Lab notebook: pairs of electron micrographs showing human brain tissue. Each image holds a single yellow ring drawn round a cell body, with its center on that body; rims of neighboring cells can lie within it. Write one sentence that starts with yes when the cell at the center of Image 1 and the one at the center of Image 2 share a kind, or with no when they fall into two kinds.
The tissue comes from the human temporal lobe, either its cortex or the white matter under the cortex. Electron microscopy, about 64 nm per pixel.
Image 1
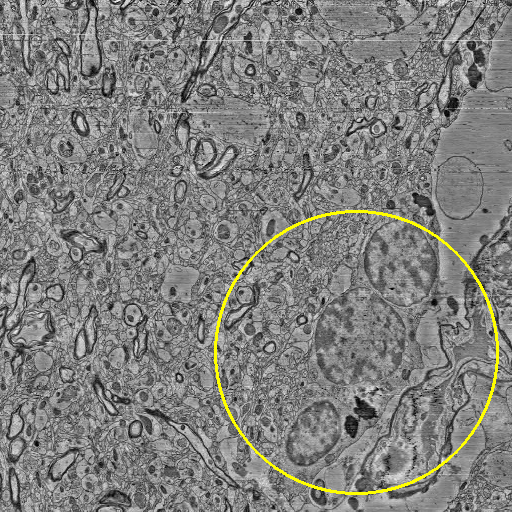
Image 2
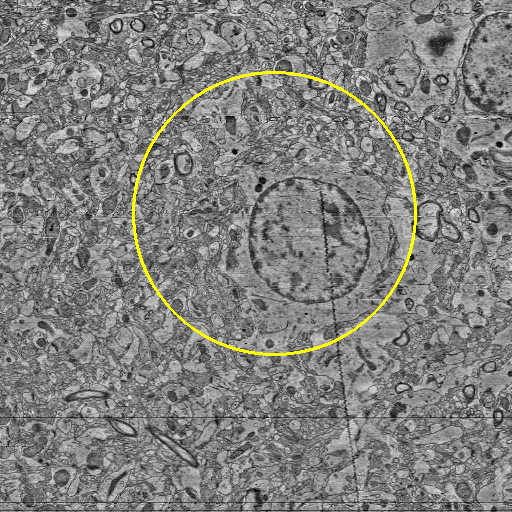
No, the centered cell in Image 1 and the centered cell in Image 2 are of two kinds.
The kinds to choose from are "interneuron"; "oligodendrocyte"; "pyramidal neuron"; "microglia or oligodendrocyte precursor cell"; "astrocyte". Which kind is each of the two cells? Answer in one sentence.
Of the two, the first cell is an oligodendrocyte and the second cell is an astrocyte.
